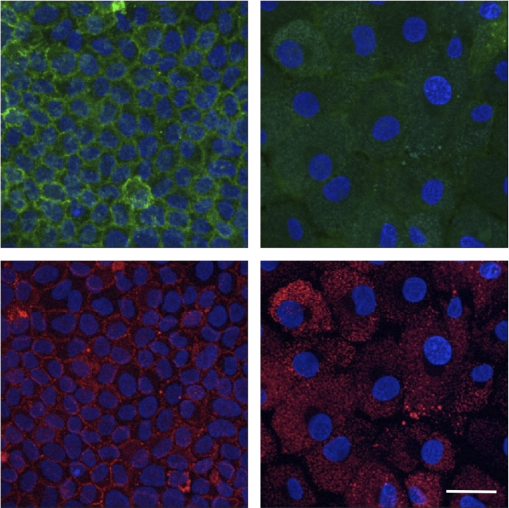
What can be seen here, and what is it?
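On the left, the cells are small and tightly packed in a regular monolayer, and the green and red staining traces each cell's plasma membrane as a fine network of outlines around closely spaced blue nuclei. On the right, the cells are much larger and flattened, with widely spaced nuclei, and the staining is diffuse and granular through the cytoplasm with no clear outline at the cell borders.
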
